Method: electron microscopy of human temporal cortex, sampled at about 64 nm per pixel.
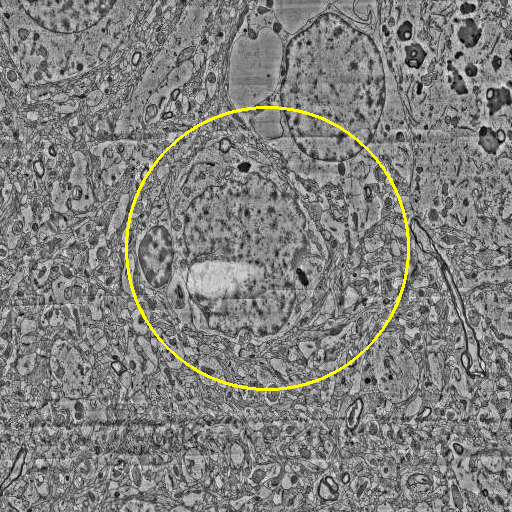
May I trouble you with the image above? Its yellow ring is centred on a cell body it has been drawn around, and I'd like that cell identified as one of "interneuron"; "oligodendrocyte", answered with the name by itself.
interneuron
